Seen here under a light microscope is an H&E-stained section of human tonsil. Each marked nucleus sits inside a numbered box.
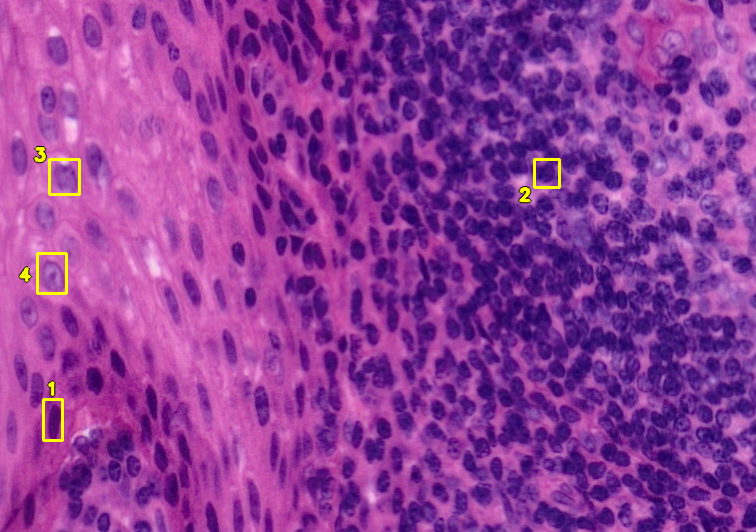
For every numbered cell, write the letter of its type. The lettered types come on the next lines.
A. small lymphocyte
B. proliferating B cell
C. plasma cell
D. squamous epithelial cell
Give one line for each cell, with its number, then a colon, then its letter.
1: D
2: A
3: D
4: D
